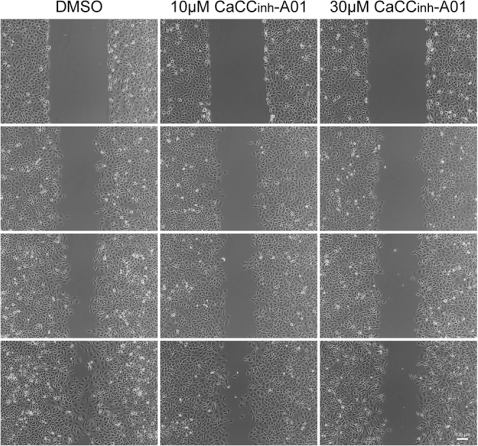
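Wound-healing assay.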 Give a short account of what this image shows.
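This is a grid of unstained cultured epithelial cells seen in phase contrast, each image showing a vertical cell-free scratch bordered by two cell sheets. The cells are small and polygonal to rounded, packed closely in a cobblestone-like layer, with scattered bright refractile rounded cells. Down the rows the cell-free band narrows as cells spread into it from both edges, more so in the left column than in the others.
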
